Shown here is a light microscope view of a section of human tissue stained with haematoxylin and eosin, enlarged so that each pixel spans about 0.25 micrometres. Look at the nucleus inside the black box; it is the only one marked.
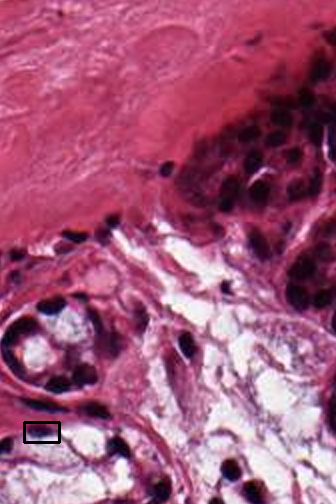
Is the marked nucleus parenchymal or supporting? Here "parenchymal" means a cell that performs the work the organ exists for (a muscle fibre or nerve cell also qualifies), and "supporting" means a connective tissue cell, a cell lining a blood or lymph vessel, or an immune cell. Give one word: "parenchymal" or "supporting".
parenchymal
